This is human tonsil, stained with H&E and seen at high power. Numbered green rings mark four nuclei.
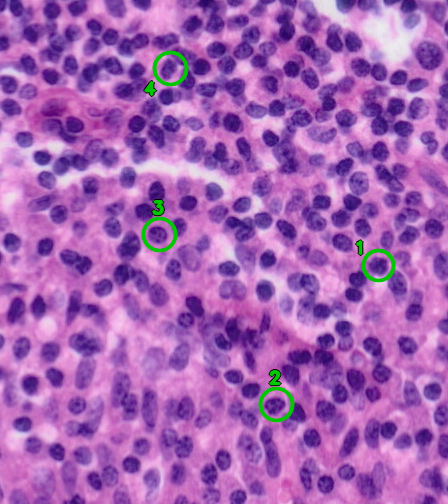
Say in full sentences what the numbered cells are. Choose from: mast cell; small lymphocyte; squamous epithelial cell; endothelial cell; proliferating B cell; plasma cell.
Cell 1 is a plasma cell, cell 2 is a plasma cell, cell 3 is a plasma cell and cell 4 is a small lymphocyte.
